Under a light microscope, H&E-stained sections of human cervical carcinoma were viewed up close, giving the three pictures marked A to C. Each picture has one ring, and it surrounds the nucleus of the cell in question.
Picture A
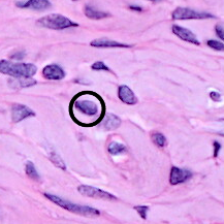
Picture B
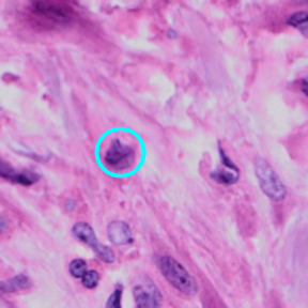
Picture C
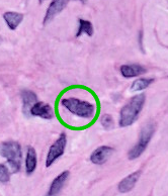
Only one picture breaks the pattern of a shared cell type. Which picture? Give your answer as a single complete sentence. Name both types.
The different one is picture B; it shows a “macrophage or monocyte”, whereas all the others show fibroblasts.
